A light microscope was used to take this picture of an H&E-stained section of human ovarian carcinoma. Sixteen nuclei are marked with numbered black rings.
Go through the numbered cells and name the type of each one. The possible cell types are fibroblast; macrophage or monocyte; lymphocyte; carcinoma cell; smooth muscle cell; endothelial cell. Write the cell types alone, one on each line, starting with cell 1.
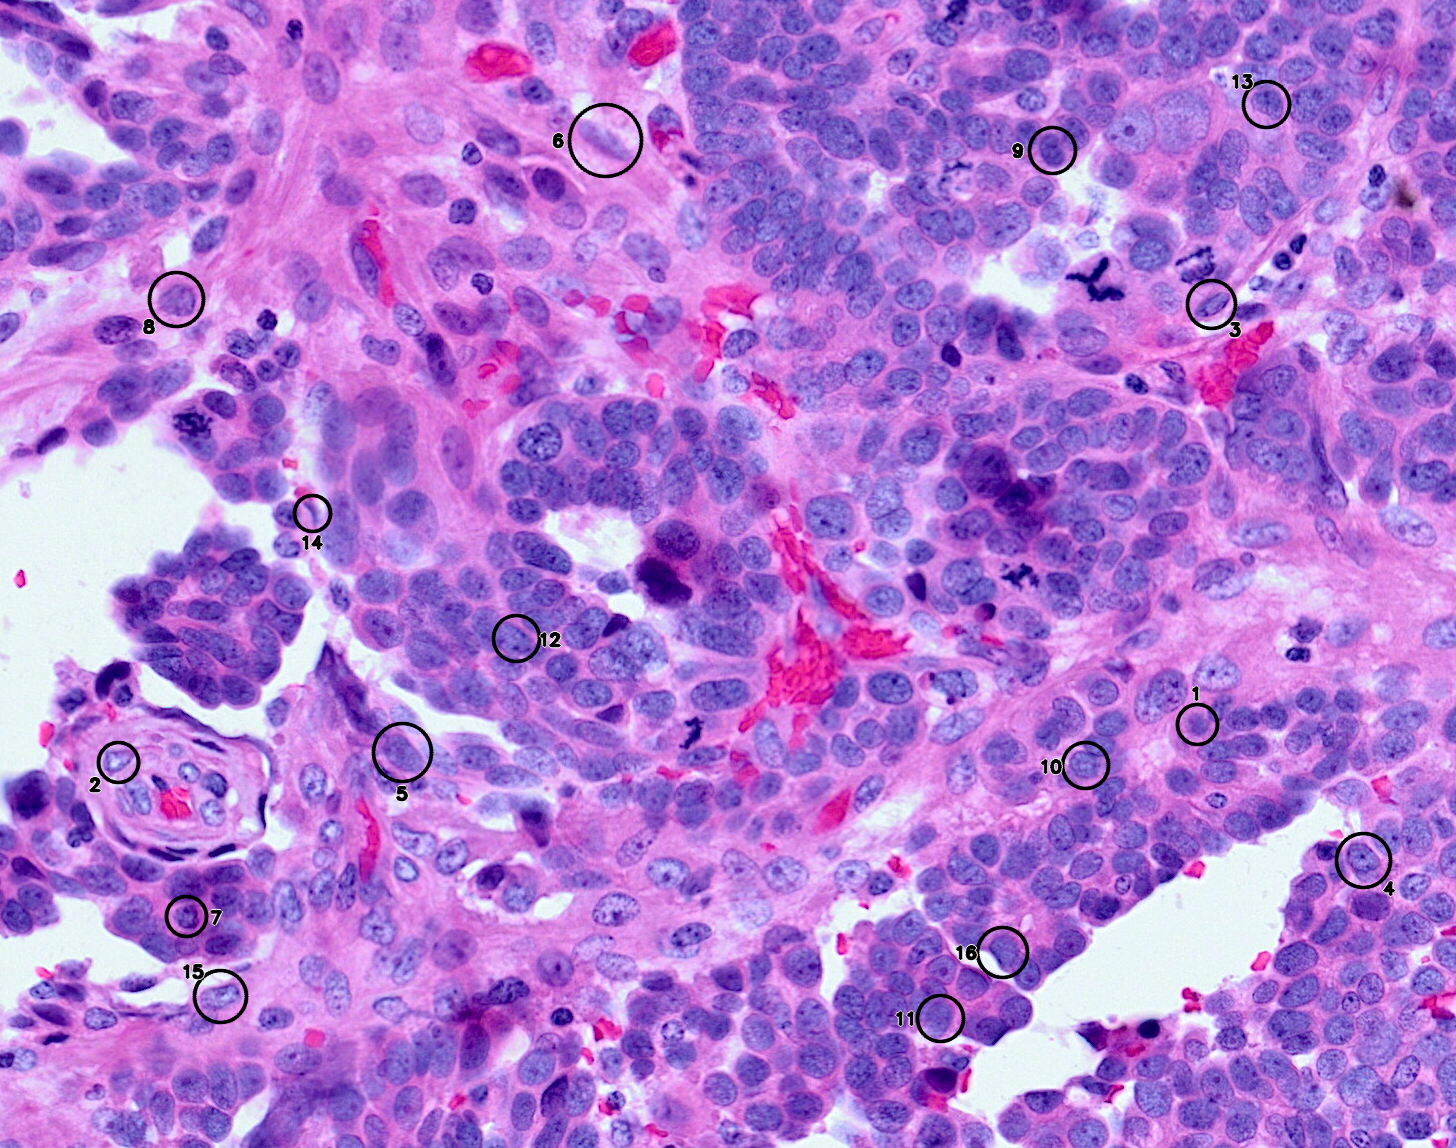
carcinoma cell
fibroblast
macrophage or monocyte
carcinoma cell
carcinoma cell
fibroblast
macrophage or monocyte
fibroblast
carcinoma cell
carcinoma cell
carcinoma cell
carcinoma cell
carcinoma cell
macrophage or monocyte
fibroblast
carcinoma cell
